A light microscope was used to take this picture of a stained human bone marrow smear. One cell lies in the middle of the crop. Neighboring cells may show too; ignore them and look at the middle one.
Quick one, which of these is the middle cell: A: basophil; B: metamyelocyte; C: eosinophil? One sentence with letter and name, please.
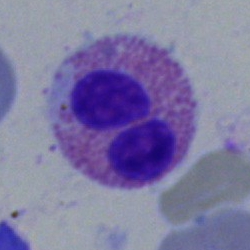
The centrally positioned cell is an eosinophil, consistent with option C, which is correct.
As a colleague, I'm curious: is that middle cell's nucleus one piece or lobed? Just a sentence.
One defining trait here is a nucleus of two or more segments.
